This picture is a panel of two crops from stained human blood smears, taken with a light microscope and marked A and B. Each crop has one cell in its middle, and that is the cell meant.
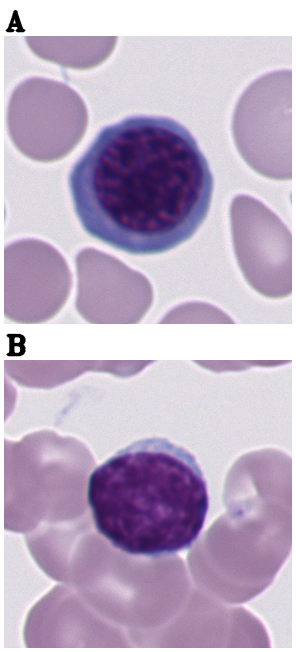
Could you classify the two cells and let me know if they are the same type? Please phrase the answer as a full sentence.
No, in crop A there is an erythroblast, and in crop B there is a lymphocyte.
